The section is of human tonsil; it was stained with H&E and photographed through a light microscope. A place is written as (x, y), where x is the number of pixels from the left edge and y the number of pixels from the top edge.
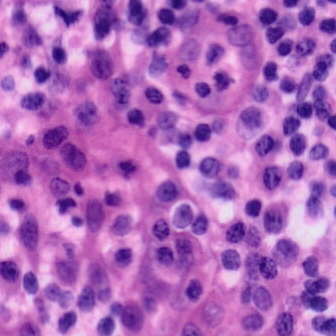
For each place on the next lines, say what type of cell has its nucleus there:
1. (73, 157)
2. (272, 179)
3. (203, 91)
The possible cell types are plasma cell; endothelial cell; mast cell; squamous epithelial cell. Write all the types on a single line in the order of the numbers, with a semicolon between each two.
squamous epithelial cell; plasma cell; endothelial cell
